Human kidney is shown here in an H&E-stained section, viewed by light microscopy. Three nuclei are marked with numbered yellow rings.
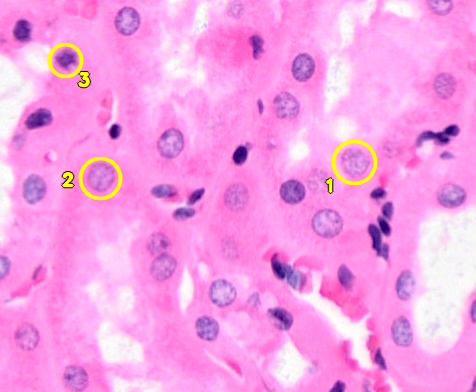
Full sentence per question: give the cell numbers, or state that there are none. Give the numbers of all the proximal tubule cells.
Within the section, cells numbered 1 and 2 are proximal tubule cells.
